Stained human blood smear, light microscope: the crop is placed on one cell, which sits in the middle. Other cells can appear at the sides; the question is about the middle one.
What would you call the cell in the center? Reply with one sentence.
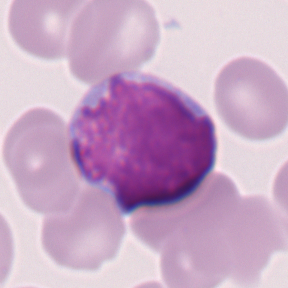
The cell nearest the centre of this crop is a large granular lymphocyte.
